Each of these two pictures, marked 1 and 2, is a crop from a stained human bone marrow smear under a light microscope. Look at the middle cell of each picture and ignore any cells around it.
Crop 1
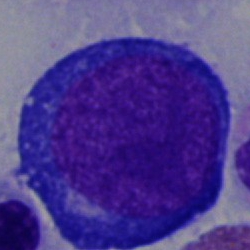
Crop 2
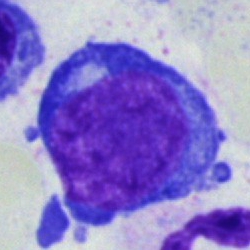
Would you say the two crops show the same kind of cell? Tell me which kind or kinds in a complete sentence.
Yes, the central cells of both crops are proerythroblasts.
